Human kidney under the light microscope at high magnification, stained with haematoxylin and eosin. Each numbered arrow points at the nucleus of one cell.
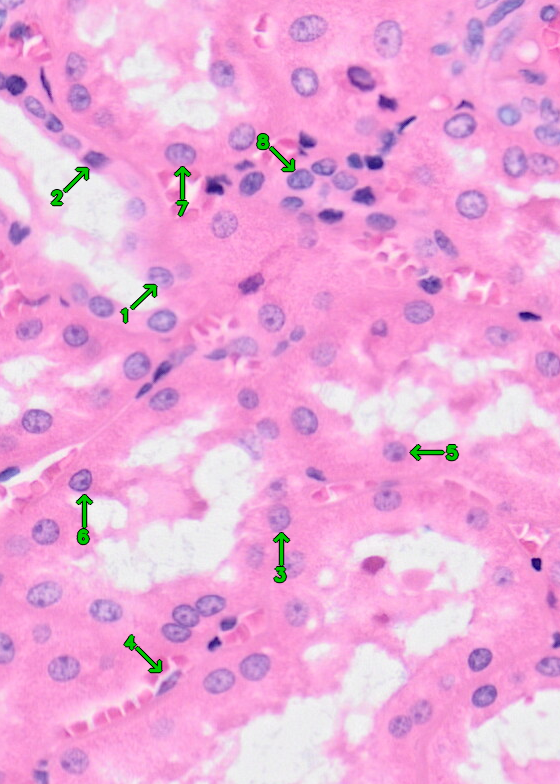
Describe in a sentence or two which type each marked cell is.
Cells 1, 2 and 8 are collecting duct cells. Cells 3, 5, 6 and 7 are proximal tubule cells. Cell 4 is an endothelial cell.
